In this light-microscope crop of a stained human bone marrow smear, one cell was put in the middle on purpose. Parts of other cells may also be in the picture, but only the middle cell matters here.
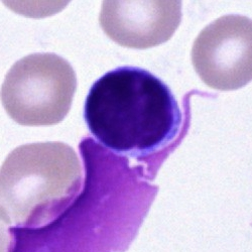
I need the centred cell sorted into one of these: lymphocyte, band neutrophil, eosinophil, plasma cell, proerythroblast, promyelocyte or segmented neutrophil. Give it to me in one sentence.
The centrally located cell in the crop is a lymphocyte.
